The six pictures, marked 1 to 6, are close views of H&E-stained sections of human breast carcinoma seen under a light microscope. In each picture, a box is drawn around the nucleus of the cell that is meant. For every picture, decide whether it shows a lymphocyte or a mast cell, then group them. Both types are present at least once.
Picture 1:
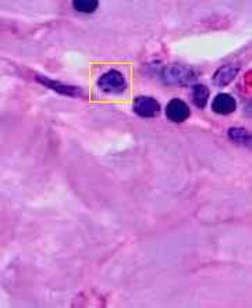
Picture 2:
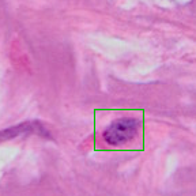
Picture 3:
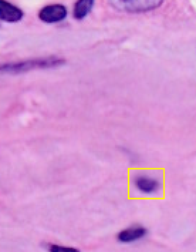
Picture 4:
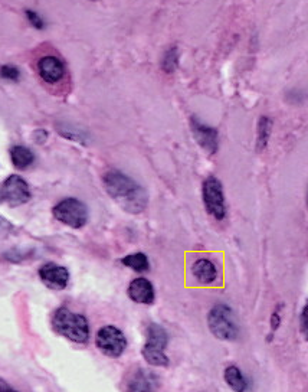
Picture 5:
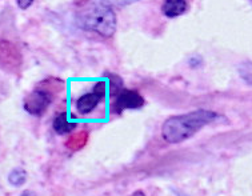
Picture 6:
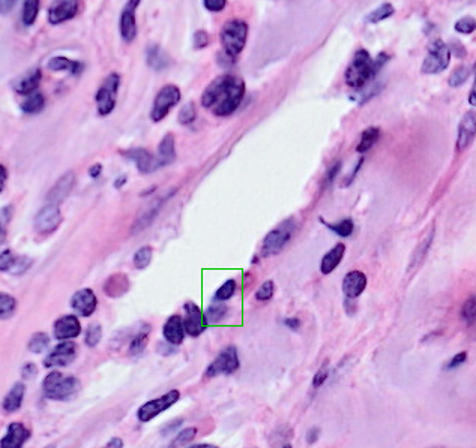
1: lymphocyte
2: mast cell
3: lymphocyte
4: mast cell
5: lymphocyte
6: lymphocyte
